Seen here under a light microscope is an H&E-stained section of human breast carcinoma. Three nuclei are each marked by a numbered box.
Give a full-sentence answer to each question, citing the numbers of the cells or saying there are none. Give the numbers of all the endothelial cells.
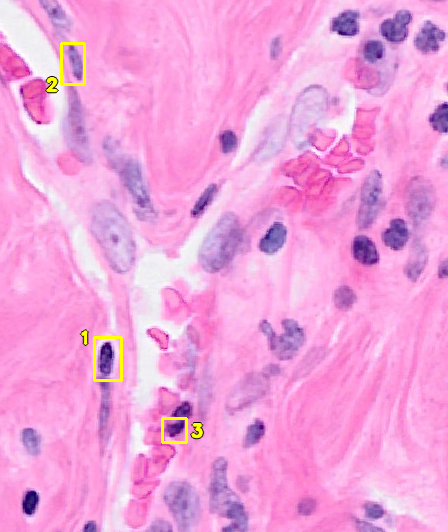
Each of the cells numbered 2 and 3 is among the endothelial cells.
